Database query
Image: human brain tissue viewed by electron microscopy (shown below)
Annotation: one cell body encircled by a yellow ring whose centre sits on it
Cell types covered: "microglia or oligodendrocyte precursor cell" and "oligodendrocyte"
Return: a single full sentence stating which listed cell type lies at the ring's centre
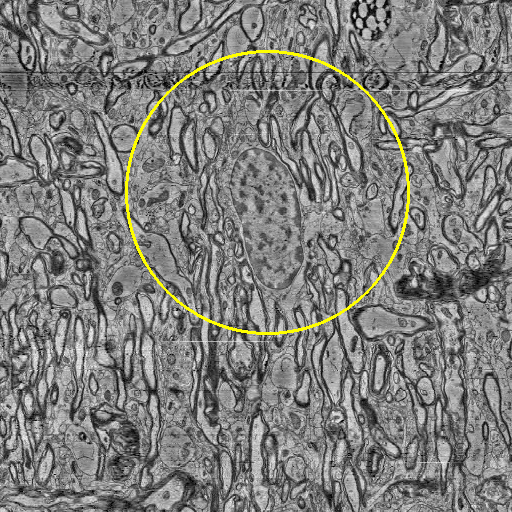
In the image, the cell lying at the ring's centre is a microglial cell or oligodendrocyte precursor cell.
